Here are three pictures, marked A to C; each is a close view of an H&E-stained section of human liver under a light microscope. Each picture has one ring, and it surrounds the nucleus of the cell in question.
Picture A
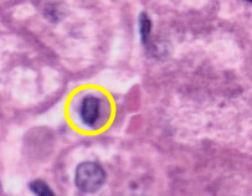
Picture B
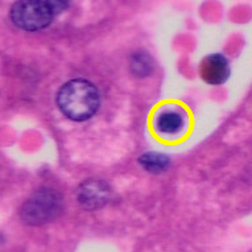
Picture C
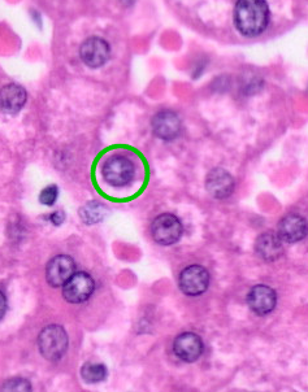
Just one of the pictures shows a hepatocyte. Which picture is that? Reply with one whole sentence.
The picture with the hepatocyte is C.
